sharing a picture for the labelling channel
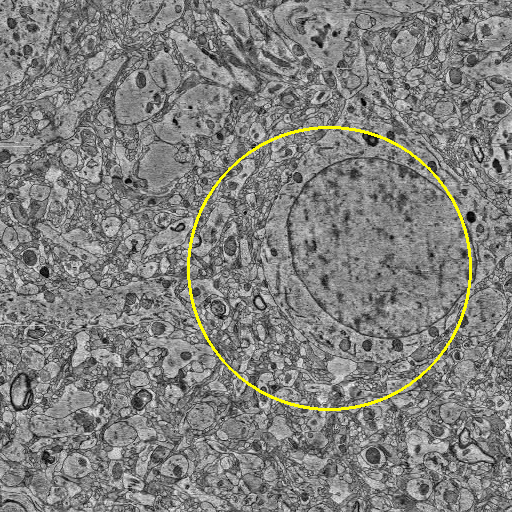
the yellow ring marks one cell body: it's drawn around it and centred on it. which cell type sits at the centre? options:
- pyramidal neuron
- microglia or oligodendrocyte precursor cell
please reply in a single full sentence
In the picture, the cell at the ring's centre is a pyramidal neuron, going by the list.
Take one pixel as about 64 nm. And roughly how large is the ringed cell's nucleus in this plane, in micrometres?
The nucleus is approximately 12 micrometers across in this plane.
